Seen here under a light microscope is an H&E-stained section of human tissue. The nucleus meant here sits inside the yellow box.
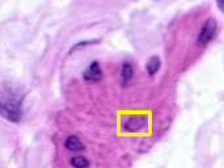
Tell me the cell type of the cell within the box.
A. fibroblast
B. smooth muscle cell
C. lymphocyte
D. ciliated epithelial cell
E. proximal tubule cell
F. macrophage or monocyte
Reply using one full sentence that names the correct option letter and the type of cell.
Of the options given, B is right: the cell within the box is a smooth muscle cell.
